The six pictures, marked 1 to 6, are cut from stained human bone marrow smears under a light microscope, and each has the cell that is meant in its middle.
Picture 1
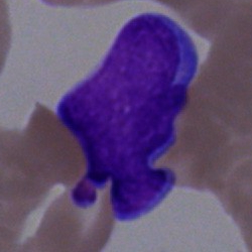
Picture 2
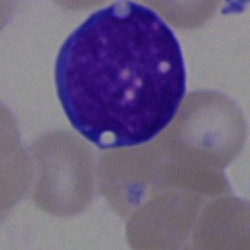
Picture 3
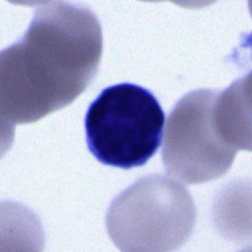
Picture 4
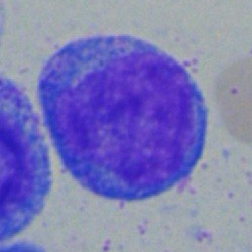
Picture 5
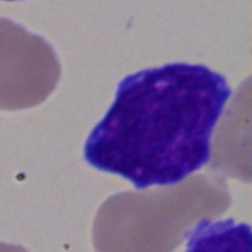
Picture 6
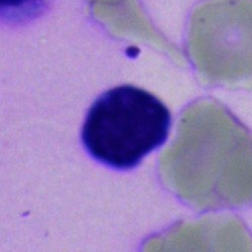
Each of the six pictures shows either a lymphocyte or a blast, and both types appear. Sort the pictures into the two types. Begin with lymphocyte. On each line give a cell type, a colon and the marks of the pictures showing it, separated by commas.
lymphocyte: 3, 6
blast: 1, 2, 4, 5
